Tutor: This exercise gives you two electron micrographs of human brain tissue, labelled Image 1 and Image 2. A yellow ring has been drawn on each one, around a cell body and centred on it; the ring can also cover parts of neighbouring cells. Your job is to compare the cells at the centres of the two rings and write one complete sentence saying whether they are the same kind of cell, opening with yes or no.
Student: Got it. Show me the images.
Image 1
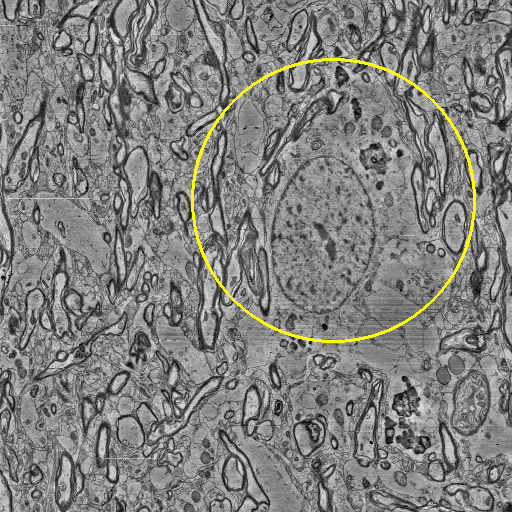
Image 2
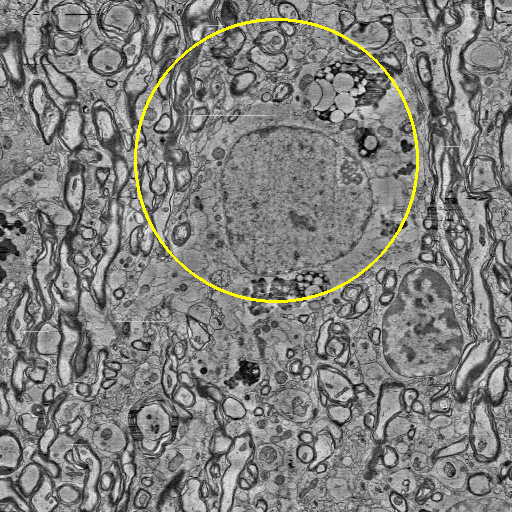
Yes, the two cells belong to the same kind.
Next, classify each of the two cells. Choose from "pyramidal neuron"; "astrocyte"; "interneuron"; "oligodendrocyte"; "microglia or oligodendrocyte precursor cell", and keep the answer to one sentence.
In each picture the ringed cell is an astrocyte.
